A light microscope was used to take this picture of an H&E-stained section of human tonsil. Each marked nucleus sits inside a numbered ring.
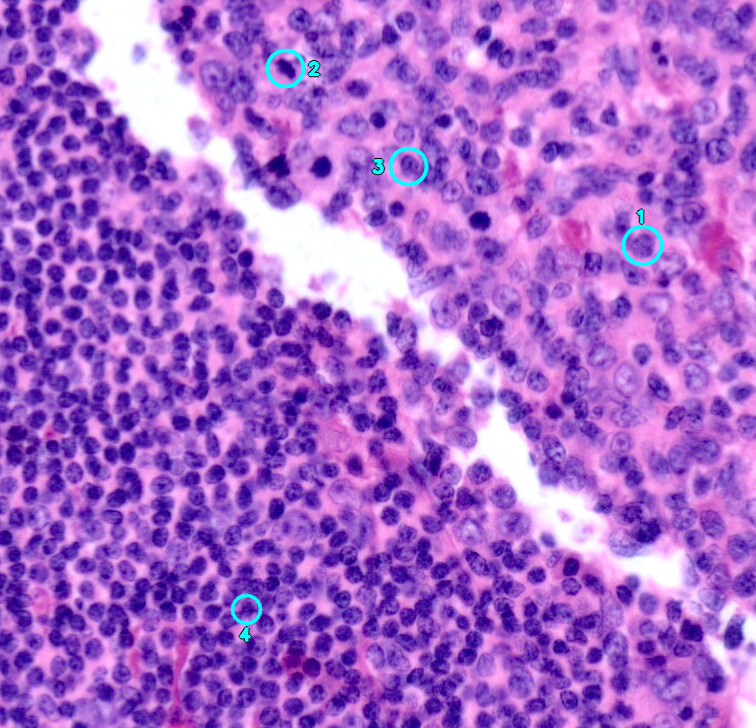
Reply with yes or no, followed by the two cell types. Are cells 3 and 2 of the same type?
Yes, both are proliferating B cells.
